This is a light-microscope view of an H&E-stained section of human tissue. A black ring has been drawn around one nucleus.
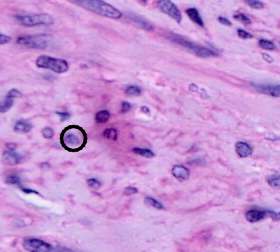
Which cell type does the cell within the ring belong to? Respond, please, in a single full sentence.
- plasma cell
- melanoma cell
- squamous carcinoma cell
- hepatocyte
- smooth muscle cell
Students should answer that the cell within the ring is a smooth muscle cell.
